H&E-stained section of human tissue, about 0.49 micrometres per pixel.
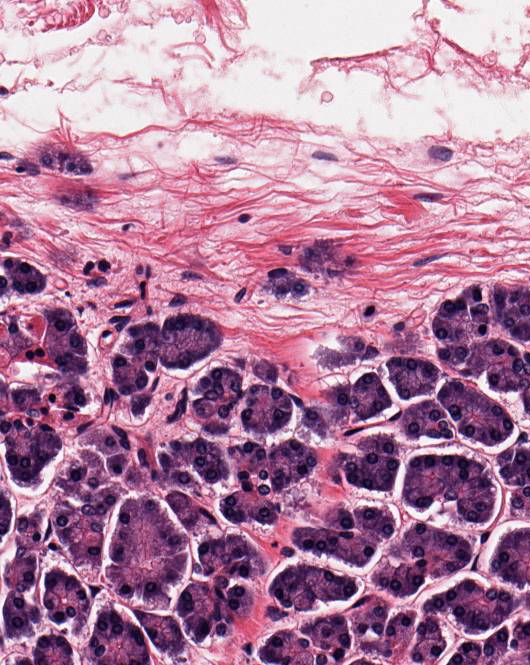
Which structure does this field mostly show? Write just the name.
exocrine pancreas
